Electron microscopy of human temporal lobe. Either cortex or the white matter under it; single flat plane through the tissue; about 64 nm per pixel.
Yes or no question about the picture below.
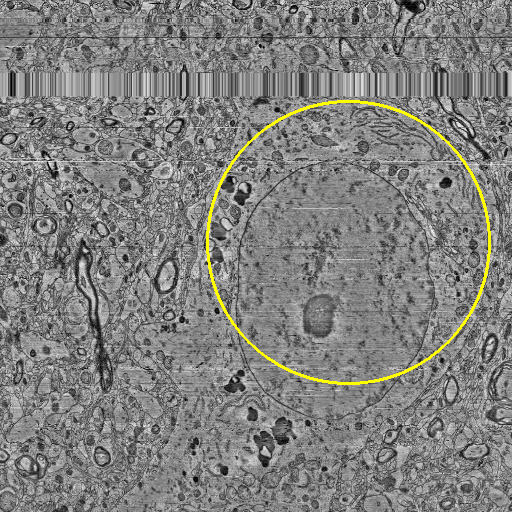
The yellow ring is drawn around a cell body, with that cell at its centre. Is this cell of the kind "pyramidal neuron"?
yes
